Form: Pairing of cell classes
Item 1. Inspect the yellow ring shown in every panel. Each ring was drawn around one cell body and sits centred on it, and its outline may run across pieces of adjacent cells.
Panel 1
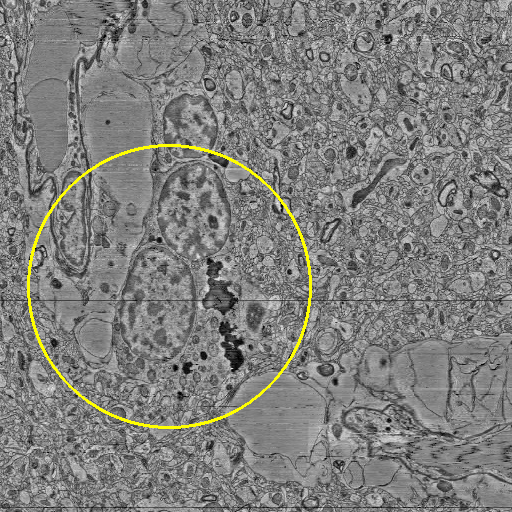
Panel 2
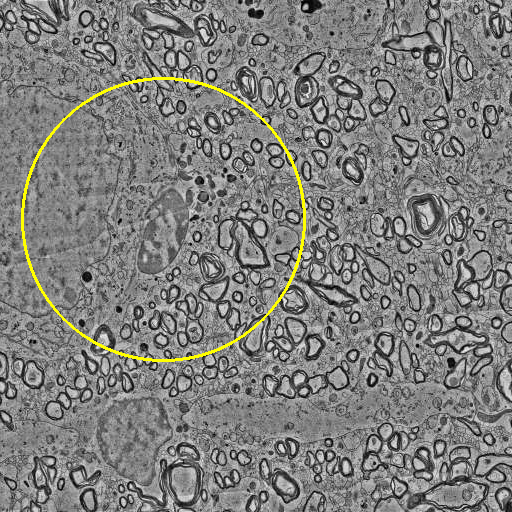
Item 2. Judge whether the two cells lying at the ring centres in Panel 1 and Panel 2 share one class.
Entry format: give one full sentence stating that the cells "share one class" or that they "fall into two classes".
The cells at the ring centres in Panel 1 and Panel 2 fall into two classes.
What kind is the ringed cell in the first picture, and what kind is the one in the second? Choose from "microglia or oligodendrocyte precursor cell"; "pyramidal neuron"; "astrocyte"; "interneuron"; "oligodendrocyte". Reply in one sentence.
The first cell is an oligodendrocyte; the second is a microglial cell or oligodendrocyte precursor cell.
